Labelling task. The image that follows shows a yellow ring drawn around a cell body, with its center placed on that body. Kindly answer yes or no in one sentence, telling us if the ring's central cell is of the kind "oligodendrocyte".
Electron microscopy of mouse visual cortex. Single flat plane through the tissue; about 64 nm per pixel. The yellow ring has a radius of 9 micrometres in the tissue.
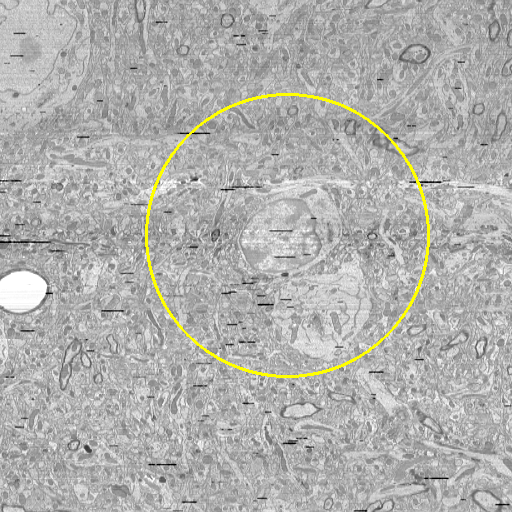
Yes, in this image the cell at the ring's center is of that kind.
